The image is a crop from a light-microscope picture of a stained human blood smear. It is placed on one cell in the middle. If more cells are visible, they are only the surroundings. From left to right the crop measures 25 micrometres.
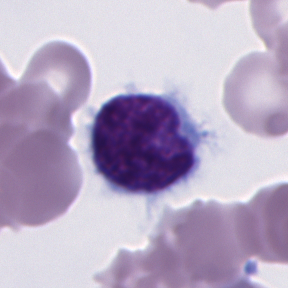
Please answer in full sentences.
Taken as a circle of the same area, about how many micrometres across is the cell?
Taken as a circle, the cell has a diameter of about 10 micrometres.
